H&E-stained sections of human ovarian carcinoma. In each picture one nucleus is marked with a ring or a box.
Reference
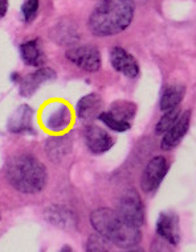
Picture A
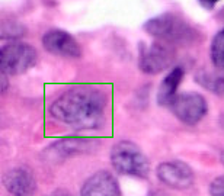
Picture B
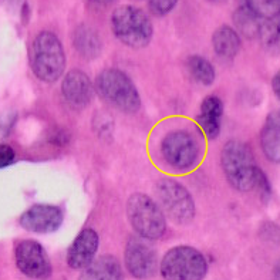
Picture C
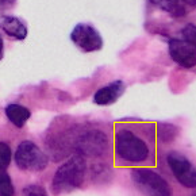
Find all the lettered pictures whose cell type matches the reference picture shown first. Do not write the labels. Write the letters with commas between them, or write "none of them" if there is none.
B, C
